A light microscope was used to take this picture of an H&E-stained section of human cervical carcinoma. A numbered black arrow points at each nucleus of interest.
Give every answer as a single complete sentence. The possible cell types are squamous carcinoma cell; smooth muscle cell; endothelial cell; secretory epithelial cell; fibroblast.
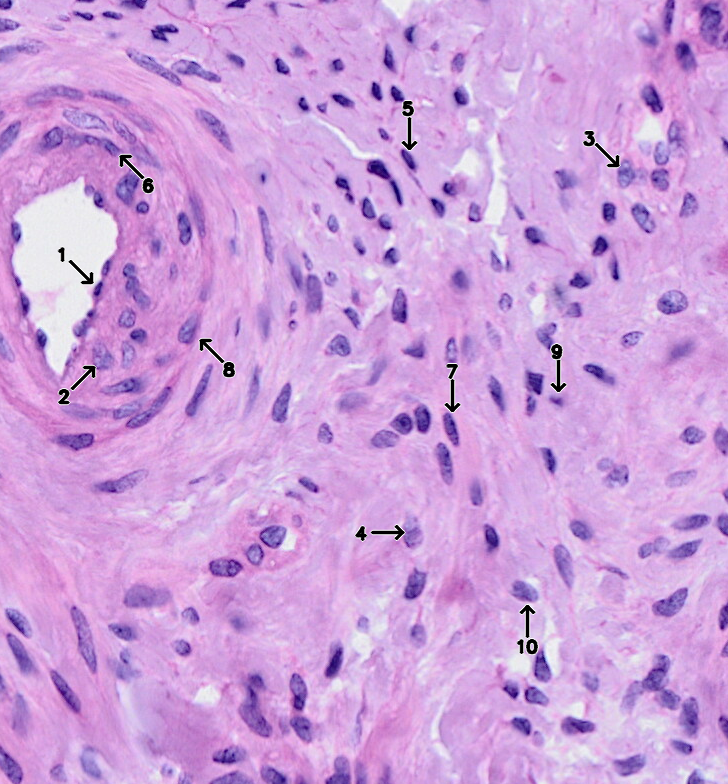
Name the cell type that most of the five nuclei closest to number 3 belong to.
Most of the five nuclei nearest to number 3 are those of endothelial cells.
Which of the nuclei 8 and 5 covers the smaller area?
Nucleus 5 is the smaller one; nucleus 8 covers about 2.5 times its area.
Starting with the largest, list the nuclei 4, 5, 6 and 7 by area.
Going from the biggest nucleus down to the smallest gives 4, 7, 6, 5.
